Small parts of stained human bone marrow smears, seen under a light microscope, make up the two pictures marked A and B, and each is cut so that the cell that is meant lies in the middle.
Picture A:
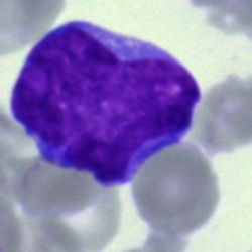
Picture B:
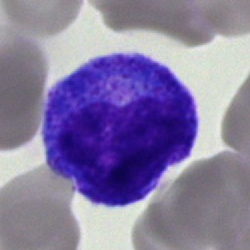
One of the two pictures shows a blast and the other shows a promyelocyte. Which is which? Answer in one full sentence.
Picture A is of a blast, and picture B is of a promyelocyte.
